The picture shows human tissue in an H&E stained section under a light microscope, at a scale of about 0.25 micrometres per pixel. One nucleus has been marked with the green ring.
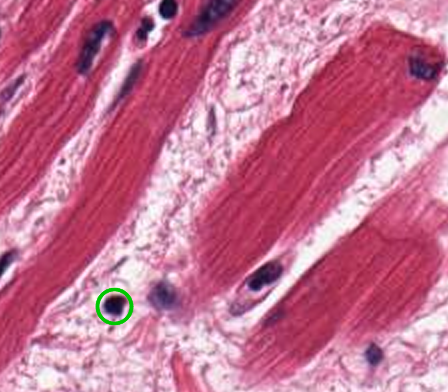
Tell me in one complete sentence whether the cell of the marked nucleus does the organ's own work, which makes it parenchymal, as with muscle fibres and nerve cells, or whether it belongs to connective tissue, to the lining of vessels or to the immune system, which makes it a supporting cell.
The cell bearing the marked nucleus is a supporting cell.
